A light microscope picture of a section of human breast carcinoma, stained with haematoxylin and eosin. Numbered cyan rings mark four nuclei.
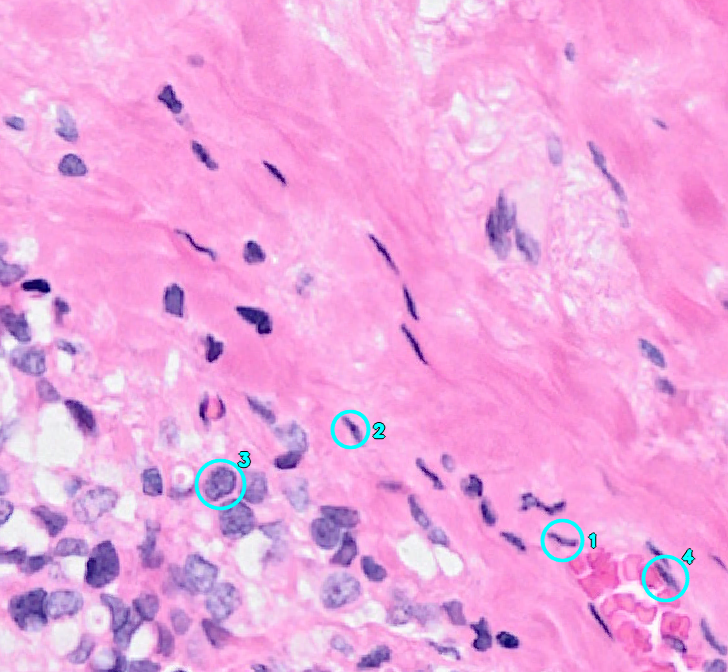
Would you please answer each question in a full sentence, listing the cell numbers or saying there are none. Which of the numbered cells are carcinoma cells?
A single numbered cell, cell 3, is a carcinoma cell.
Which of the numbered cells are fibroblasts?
Cell 2 is a fibroblast, and it is the only one.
